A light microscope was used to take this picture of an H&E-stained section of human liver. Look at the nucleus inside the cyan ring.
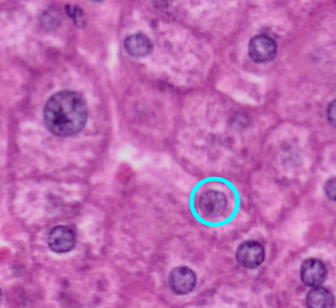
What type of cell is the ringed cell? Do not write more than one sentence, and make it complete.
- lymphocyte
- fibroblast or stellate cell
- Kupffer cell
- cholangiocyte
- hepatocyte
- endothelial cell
The classification of the ringed cell is as a hepatocyte.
